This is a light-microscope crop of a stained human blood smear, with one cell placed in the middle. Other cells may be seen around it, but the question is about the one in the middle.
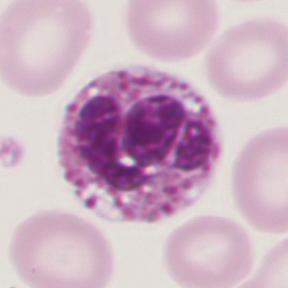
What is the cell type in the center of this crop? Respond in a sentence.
For this crop, the cell in the middle is an eosinophil.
